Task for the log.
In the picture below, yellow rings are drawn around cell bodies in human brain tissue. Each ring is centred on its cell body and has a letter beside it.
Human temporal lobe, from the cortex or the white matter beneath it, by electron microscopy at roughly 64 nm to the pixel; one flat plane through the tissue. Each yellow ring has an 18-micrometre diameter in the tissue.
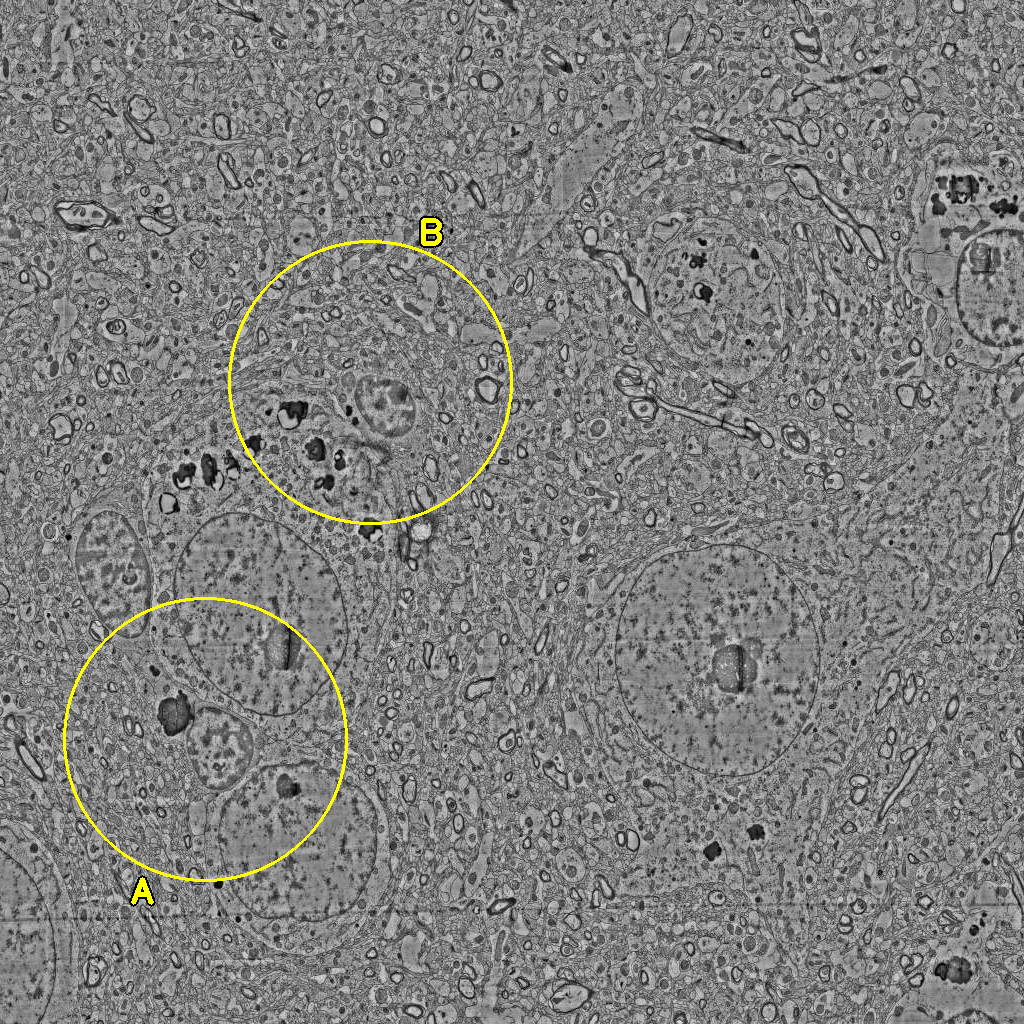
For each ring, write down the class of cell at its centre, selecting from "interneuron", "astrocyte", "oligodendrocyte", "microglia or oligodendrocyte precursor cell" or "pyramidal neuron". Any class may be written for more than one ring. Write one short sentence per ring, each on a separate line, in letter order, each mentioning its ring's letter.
The cell inside ring A, at its centre, is an oligodendrocyte.
The cell inside ring B, at its centre, is an oligodendrocyte.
